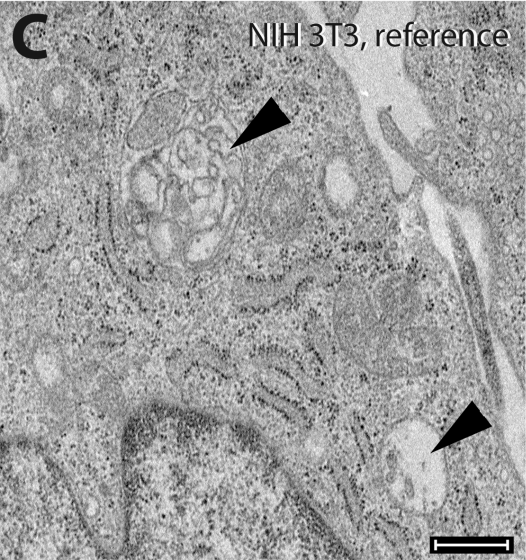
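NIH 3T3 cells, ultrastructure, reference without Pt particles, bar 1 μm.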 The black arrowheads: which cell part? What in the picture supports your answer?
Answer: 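The upper arrowhead points to a round membrane-bound compartment filled with smaller membranous vesicles. The lower arrowhead points to a smaller pale membrane-bound compartment in the cytoplasm. On this evidence: multi-vesicular bodies.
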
